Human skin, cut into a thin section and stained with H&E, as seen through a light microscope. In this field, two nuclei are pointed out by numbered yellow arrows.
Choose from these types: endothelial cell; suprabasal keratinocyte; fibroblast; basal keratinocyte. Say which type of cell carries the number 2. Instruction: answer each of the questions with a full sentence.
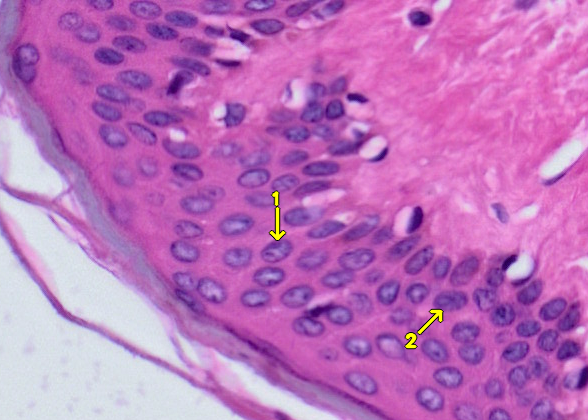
The cell referenced by the number 2 is a basal keratinocyte in this field.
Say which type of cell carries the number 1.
Cell 1 in the field of view is a suprabasal keratinocyte.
